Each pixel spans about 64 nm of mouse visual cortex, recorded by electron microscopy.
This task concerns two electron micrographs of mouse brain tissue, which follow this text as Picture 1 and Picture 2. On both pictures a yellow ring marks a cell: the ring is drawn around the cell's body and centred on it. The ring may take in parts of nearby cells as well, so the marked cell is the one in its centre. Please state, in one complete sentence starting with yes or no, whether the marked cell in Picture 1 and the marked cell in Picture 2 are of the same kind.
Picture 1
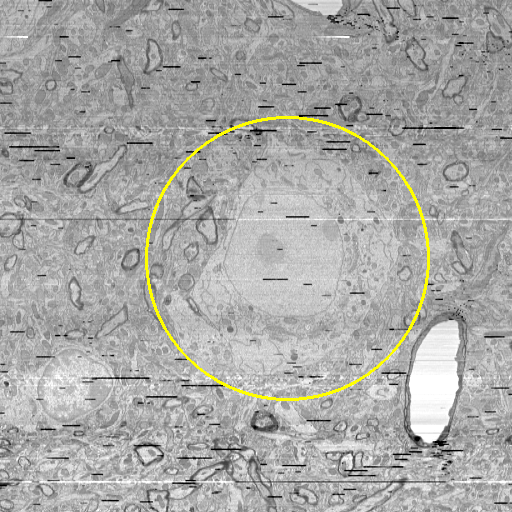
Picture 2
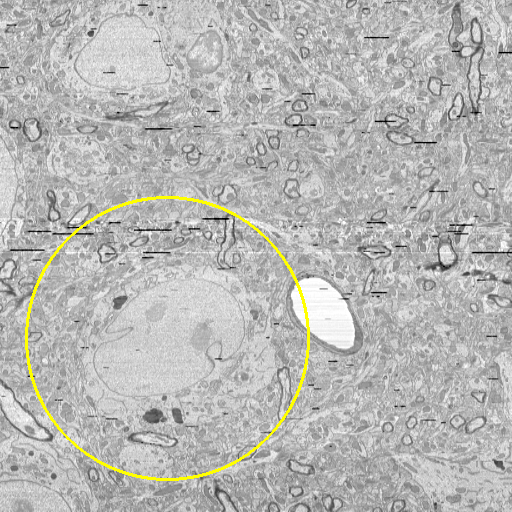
Yes, the marked cells in both pictures are of the same kind.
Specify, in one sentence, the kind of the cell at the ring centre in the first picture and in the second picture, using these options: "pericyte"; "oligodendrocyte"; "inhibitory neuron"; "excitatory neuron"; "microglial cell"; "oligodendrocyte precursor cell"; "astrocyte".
The ring centre holds an excitatory neuron in each of the two pictures.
